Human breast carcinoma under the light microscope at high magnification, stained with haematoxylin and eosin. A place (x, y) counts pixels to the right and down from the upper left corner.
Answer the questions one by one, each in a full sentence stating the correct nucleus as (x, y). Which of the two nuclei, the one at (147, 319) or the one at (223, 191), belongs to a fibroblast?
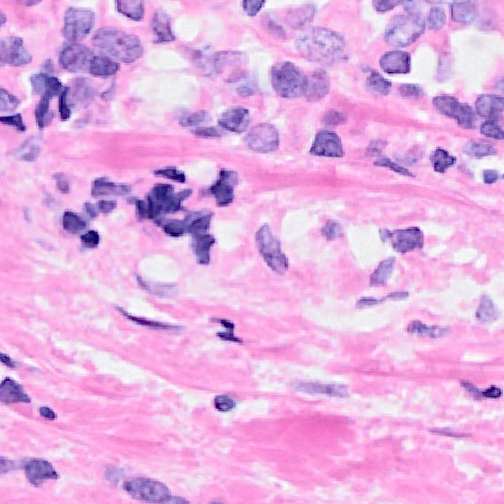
Here the nucleus at (147, 319) is the one that belongs to a fibroblast.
